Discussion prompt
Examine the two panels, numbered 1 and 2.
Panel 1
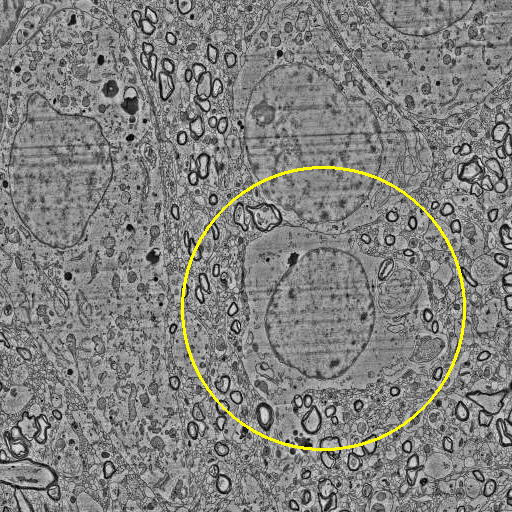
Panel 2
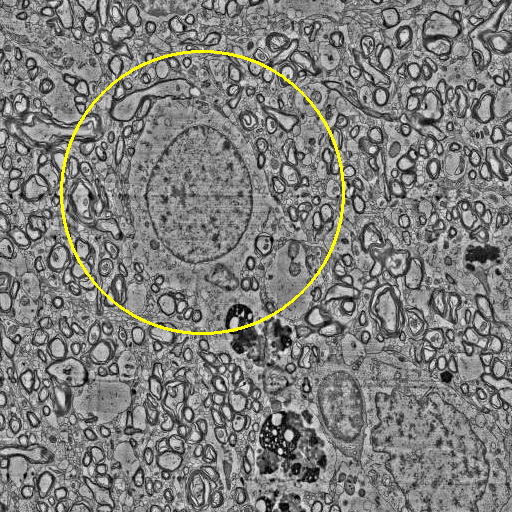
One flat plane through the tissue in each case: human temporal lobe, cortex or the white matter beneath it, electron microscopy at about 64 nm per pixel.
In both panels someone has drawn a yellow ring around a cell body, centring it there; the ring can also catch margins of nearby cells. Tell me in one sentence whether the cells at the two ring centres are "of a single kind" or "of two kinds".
Taken together, the two cells centred in the rings of Panels 1 and 2 are of a single kind.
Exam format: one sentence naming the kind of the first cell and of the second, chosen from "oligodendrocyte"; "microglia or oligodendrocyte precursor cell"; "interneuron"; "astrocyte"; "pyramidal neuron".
Both rings mark an astrocyte, one in each picture.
